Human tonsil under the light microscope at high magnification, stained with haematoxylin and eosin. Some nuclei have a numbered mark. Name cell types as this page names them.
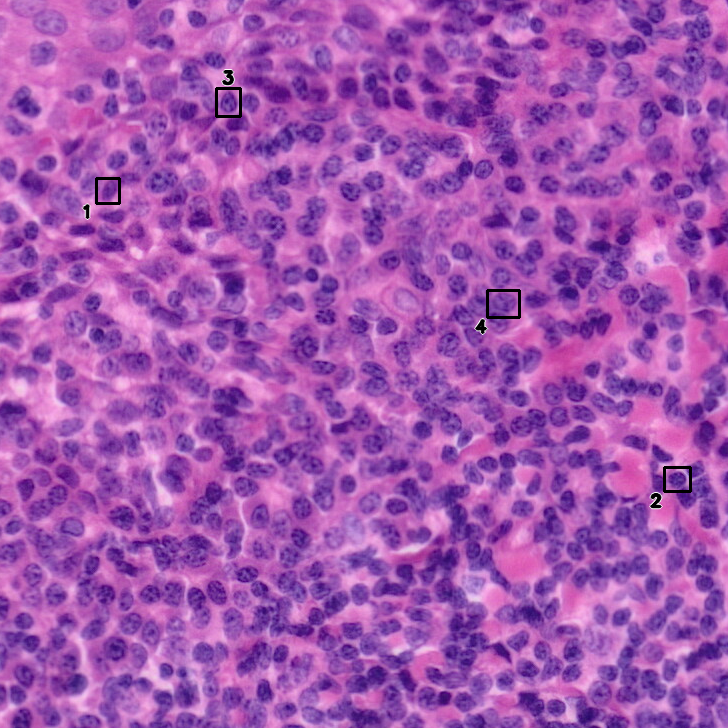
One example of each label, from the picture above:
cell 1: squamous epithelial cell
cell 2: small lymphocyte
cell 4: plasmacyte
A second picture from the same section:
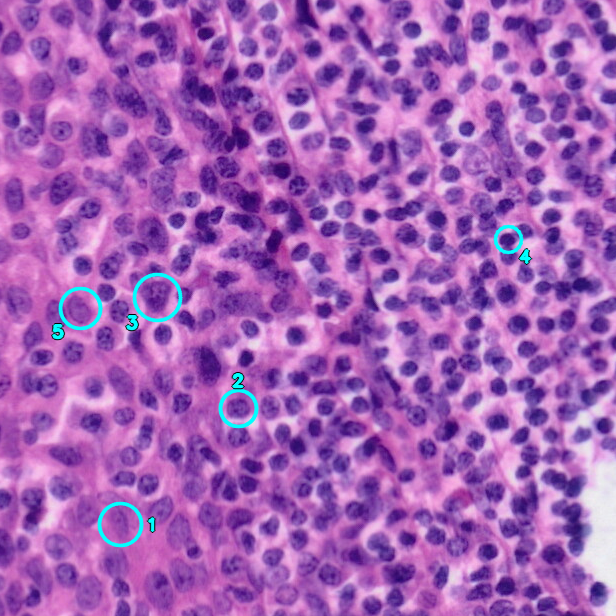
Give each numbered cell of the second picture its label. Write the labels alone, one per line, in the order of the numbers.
squamous epithelial cell
plasmacyte
squamous epithelial cell
small lymphocyte
squamous epithelial cell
